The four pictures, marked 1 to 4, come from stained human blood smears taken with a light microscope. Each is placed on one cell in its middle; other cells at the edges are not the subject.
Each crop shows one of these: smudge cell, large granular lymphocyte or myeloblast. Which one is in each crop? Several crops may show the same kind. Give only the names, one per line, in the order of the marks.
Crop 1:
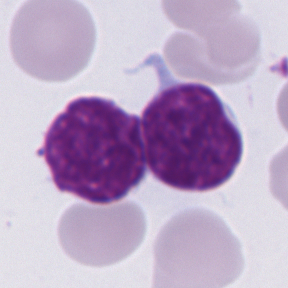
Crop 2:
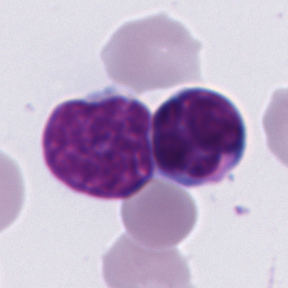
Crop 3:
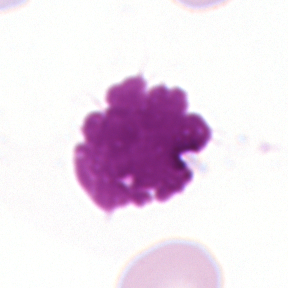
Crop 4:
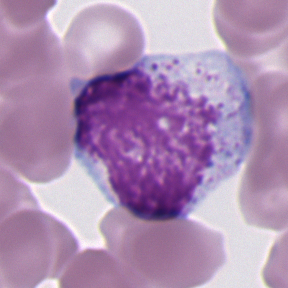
myeloblast
myeloblast
smudge cell
large granular lymphocyte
